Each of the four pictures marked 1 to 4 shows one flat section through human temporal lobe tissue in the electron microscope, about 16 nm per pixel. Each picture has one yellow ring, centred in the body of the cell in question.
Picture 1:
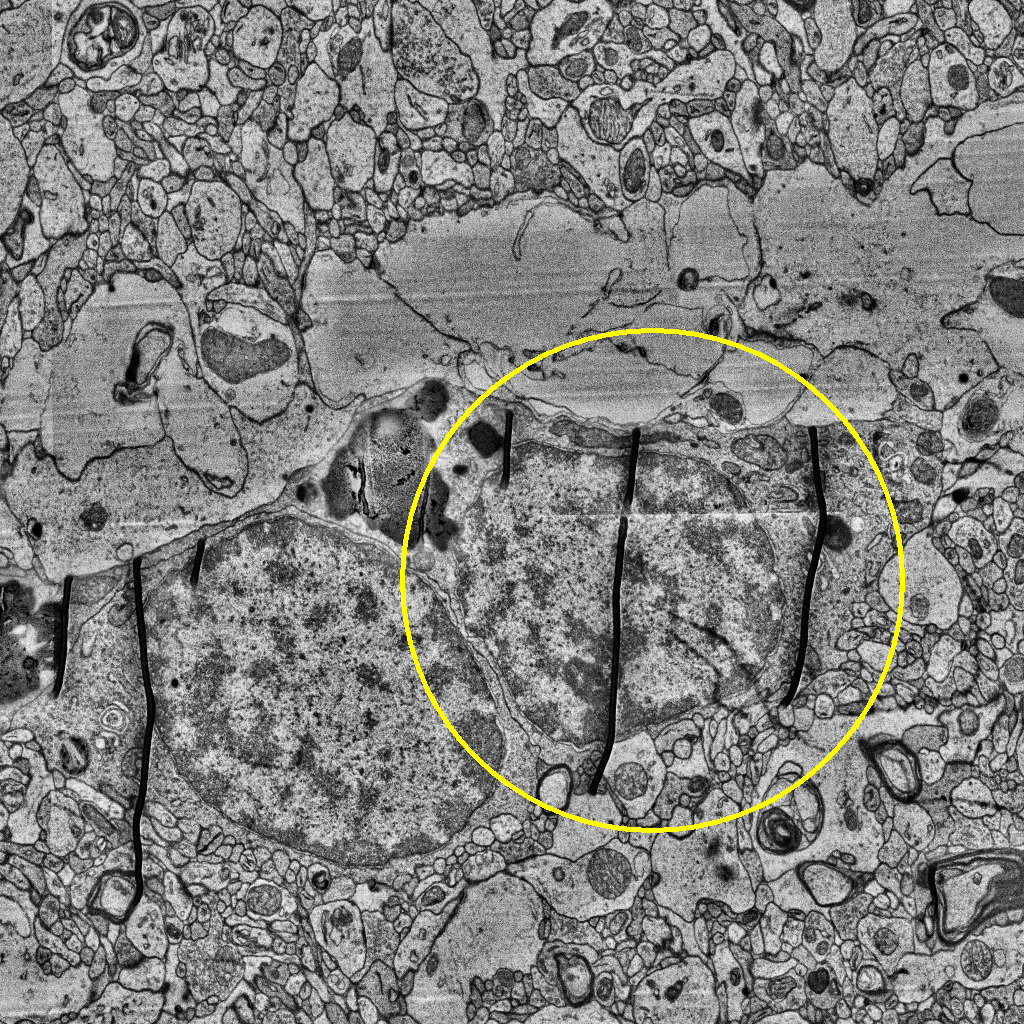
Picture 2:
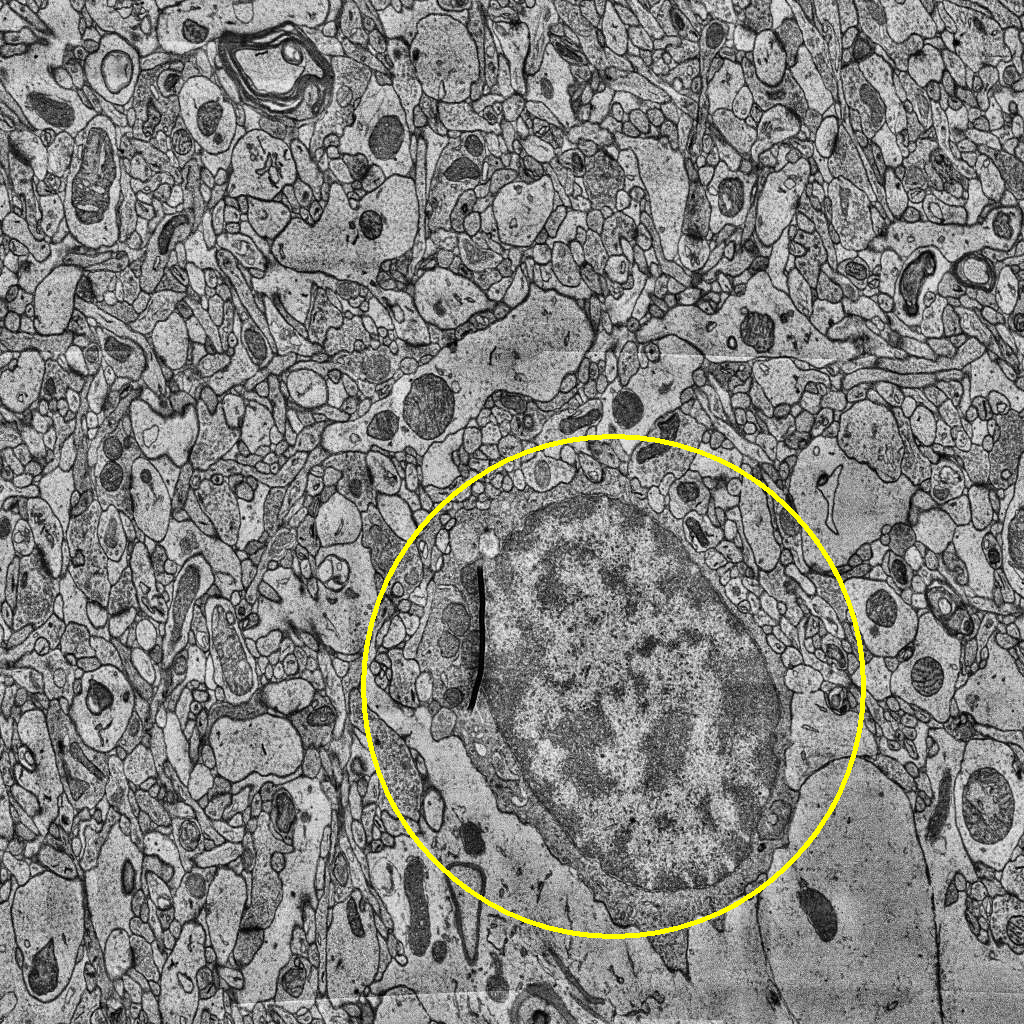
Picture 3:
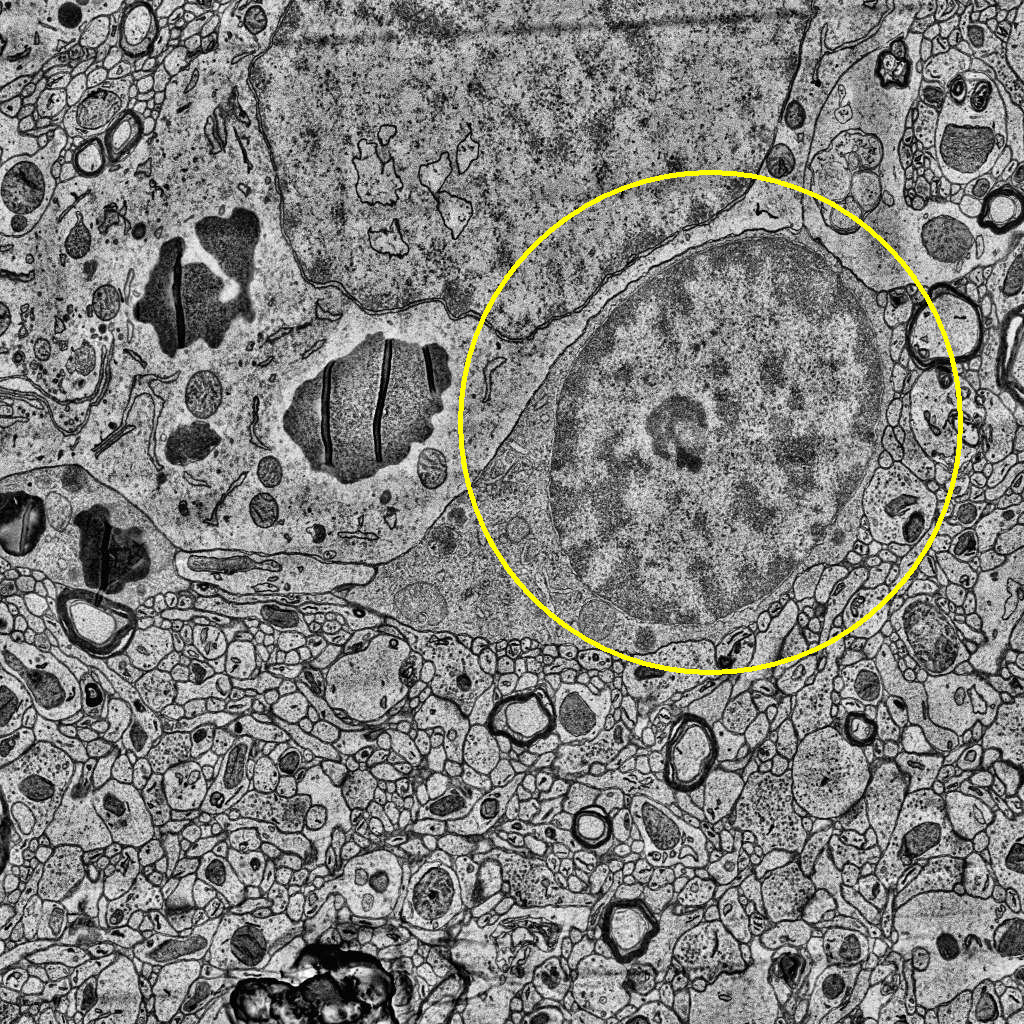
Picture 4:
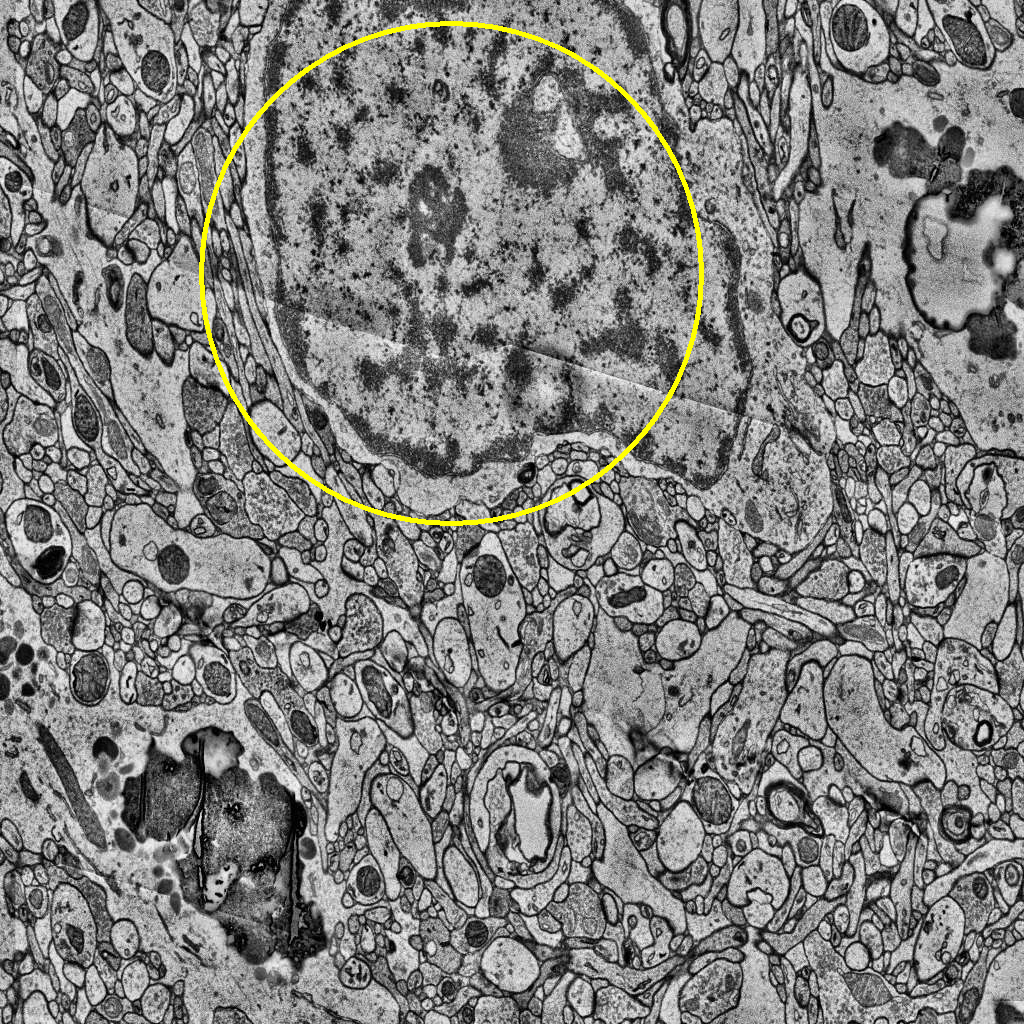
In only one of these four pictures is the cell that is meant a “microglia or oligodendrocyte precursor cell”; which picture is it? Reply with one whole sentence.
The “microglia or oligodendrocyte precursor cell” is the one in picture 4.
